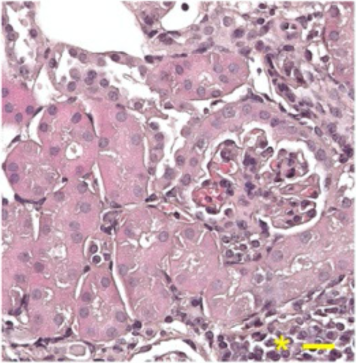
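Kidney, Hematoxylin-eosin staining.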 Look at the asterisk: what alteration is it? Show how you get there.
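Near the asterisk small dark nuclei are crowded between tubules. The answer: clusters of inflammatory cells.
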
